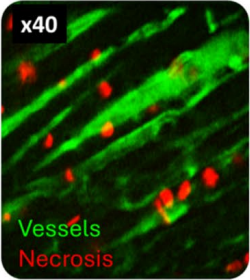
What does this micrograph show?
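The green vessels run as long, narrow, roughly parallel streaks across the field, some branching or joining neighbours. The red spots are spread singly or in small groups rather than filling the whole field.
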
